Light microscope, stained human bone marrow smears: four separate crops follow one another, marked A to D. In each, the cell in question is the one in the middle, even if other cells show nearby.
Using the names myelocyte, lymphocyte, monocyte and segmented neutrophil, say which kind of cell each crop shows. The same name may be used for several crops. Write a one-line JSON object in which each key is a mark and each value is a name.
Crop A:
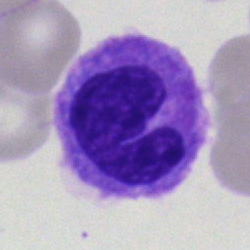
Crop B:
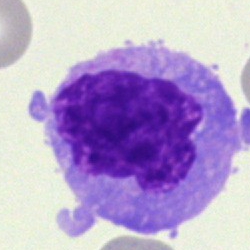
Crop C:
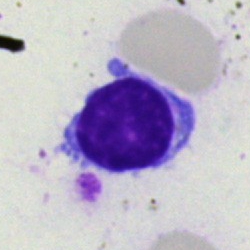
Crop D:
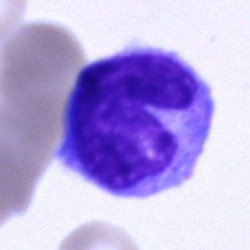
{"A": "monocyte", "B": "monocyte", "C": "lymphocyte", "D": "monocyte"}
